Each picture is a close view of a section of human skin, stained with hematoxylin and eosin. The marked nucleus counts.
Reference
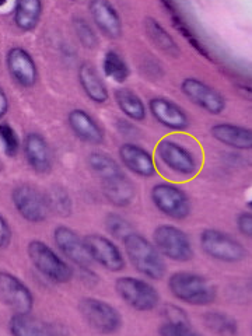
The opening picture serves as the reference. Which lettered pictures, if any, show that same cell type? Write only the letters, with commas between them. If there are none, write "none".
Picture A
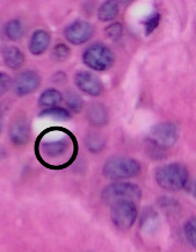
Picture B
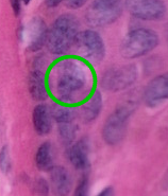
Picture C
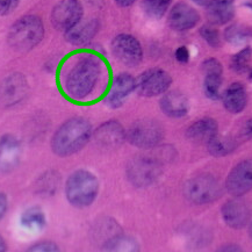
C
